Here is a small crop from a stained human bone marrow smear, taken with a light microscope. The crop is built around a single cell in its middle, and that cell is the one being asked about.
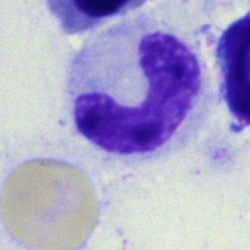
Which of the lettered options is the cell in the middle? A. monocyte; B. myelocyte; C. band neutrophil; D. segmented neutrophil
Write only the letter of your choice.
C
